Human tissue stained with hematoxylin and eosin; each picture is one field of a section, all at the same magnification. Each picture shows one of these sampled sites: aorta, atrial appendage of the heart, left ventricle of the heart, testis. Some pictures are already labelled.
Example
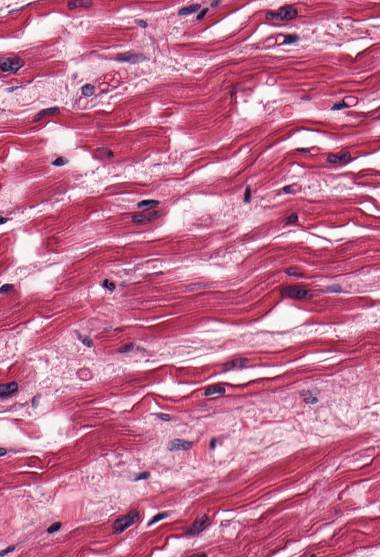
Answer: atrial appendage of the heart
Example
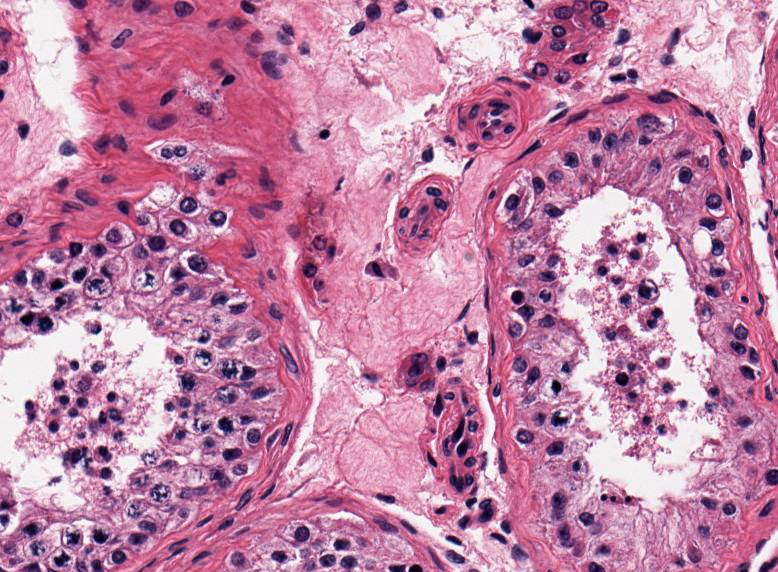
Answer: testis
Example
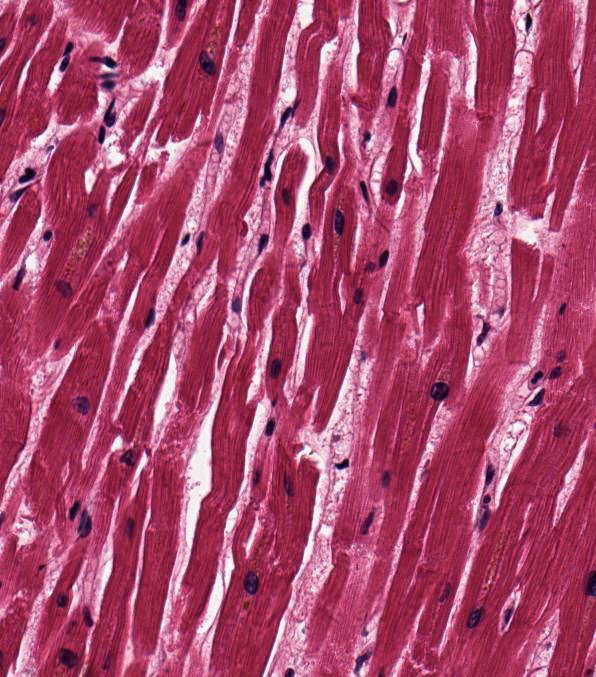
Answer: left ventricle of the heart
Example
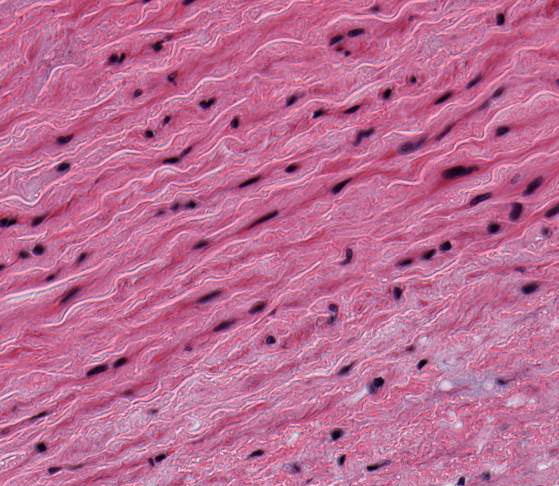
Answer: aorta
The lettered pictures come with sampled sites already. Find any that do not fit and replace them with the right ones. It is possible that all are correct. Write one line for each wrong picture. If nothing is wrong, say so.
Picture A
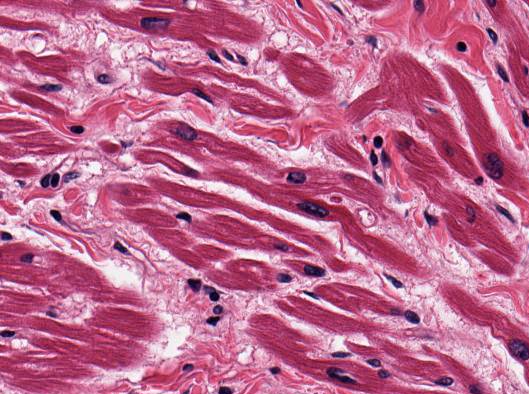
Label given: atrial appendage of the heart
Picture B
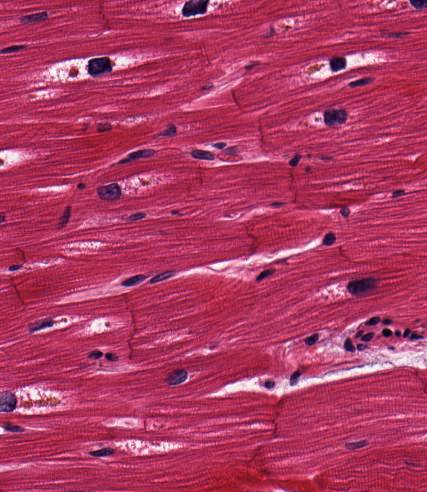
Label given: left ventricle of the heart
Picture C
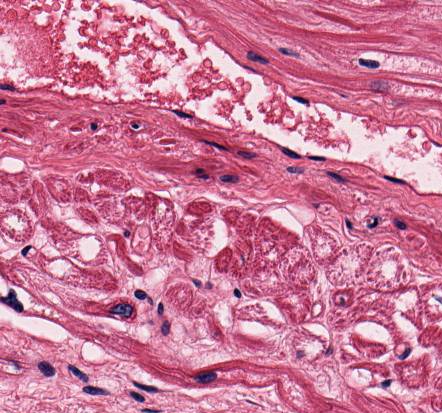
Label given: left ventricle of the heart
Wrong: C (left ventricle of the heart); correct: atrial appendage of the heart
